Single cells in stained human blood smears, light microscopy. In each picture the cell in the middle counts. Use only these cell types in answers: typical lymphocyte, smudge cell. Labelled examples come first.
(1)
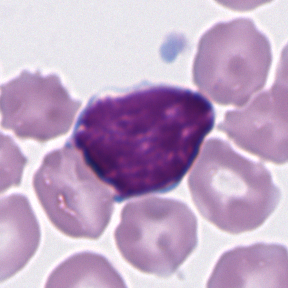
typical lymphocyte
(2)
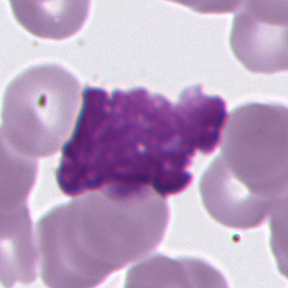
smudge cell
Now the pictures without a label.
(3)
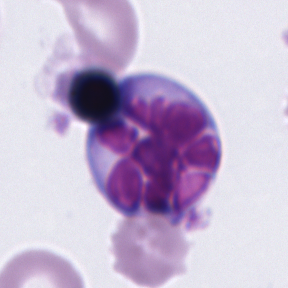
typical lymphocyte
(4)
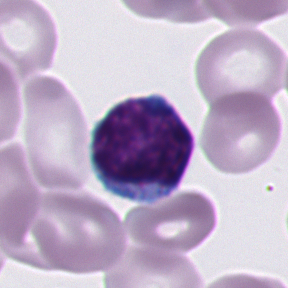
typical lymphocyte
